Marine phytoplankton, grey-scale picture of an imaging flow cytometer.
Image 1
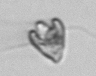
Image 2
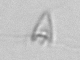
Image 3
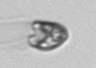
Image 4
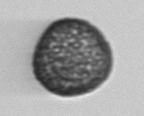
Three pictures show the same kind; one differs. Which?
Picture 4: Umbilicosphaera sibogae, while the others are Pyramimonas.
